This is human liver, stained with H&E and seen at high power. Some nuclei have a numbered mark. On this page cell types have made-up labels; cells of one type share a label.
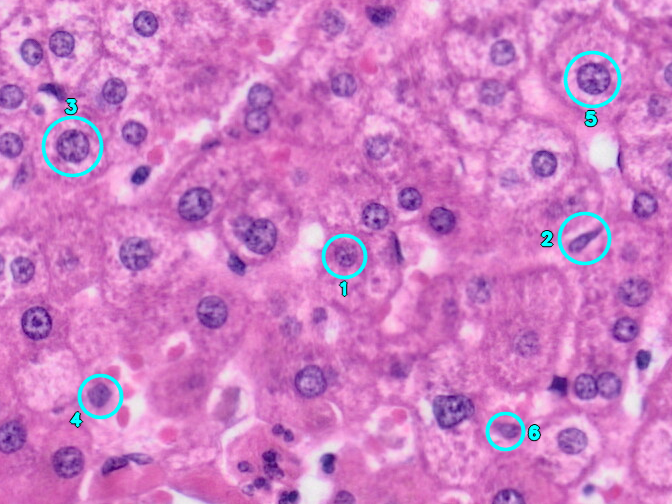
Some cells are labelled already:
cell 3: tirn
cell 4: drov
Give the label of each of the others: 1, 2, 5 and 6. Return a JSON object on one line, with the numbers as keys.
{"1": "tirn", "2": "drov", "5": "tirn", "6": "drov"}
